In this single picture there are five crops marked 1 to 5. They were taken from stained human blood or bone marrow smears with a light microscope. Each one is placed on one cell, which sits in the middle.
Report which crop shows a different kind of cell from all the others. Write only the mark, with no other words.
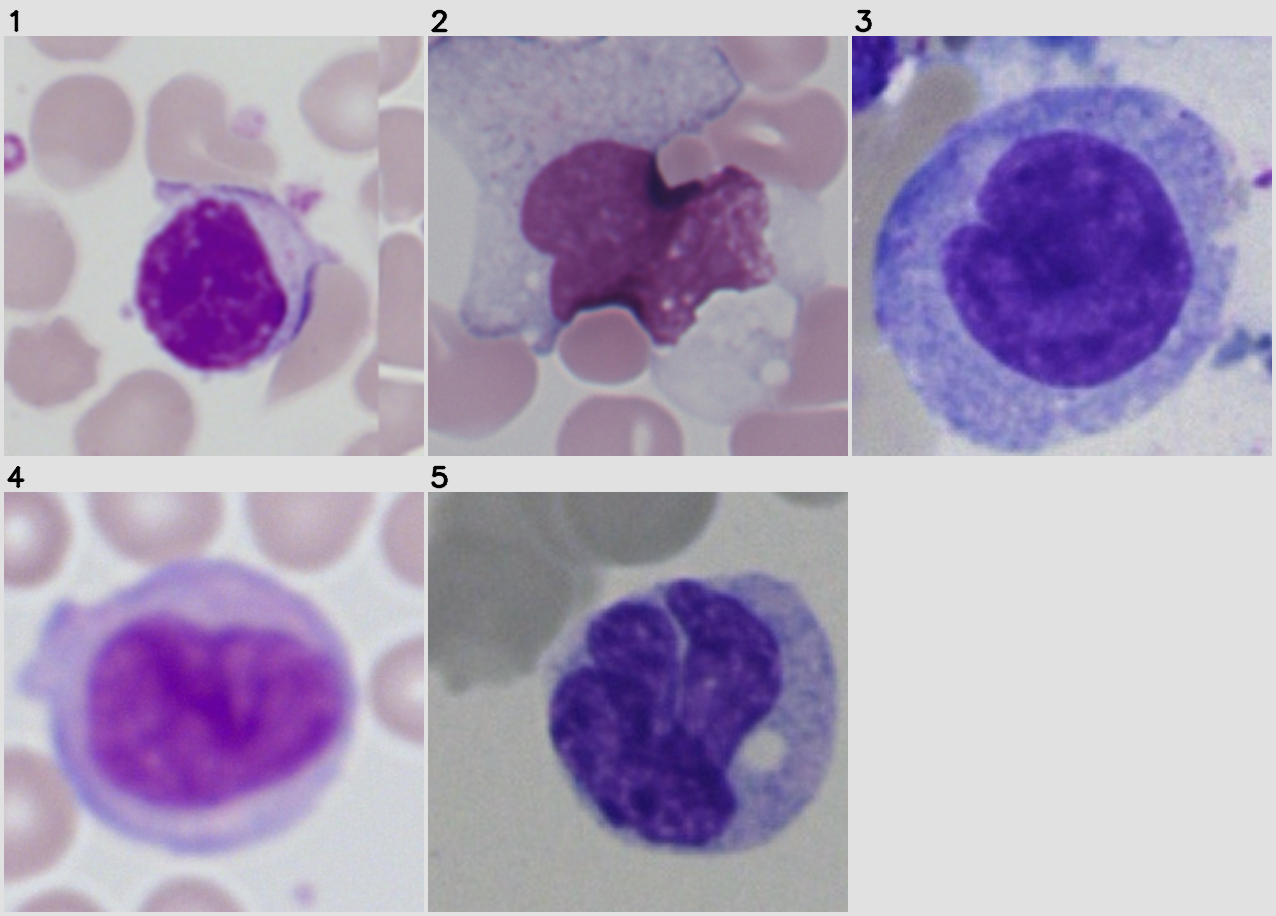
1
